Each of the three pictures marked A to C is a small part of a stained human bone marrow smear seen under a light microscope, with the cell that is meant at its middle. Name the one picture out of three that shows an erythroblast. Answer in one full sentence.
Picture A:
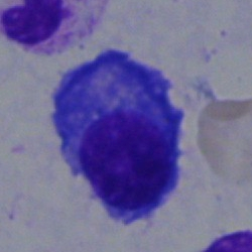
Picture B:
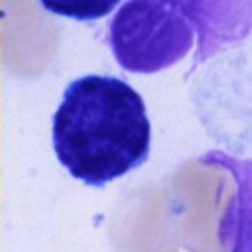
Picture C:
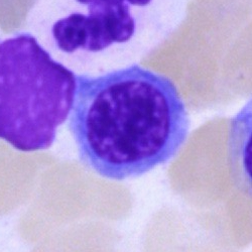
Picture C shows the erythroblast.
